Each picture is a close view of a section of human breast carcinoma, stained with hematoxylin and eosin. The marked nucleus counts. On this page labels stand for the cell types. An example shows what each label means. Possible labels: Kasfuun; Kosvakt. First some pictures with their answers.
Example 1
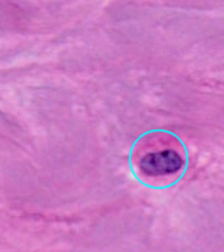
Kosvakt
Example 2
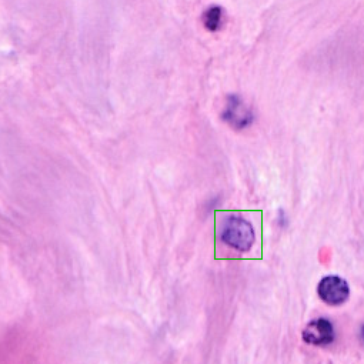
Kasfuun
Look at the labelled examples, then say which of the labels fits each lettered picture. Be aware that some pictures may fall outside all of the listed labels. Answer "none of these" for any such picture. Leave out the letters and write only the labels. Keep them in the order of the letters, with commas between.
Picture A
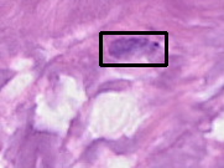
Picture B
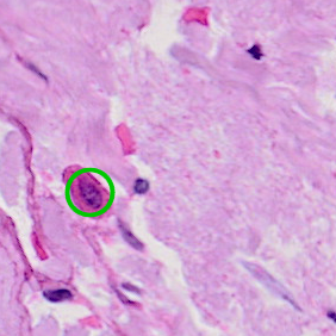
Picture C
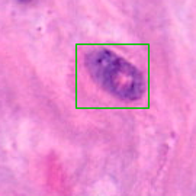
none of these, Kosvakt, none of these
